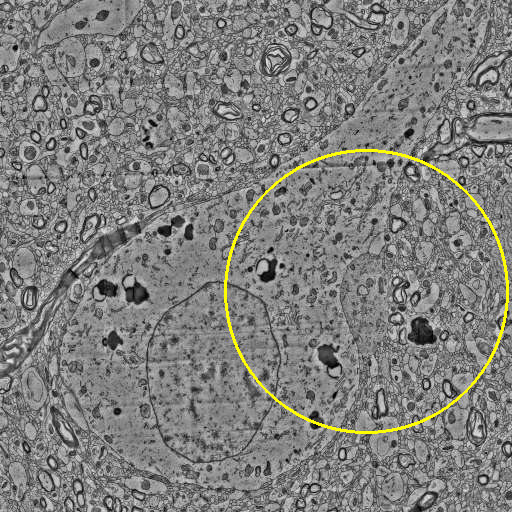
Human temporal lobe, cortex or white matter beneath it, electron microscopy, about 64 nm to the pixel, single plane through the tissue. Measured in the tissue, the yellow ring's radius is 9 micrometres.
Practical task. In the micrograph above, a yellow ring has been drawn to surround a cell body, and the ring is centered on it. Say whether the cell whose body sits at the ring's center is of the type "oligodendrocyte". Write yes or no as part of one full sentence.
Yes, the cell at the center of the ring above is of the type asked about.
